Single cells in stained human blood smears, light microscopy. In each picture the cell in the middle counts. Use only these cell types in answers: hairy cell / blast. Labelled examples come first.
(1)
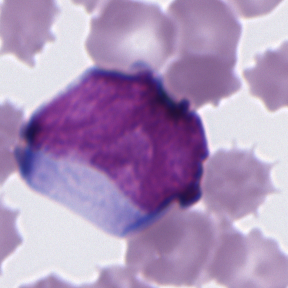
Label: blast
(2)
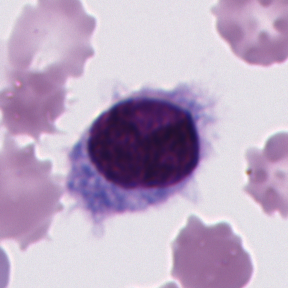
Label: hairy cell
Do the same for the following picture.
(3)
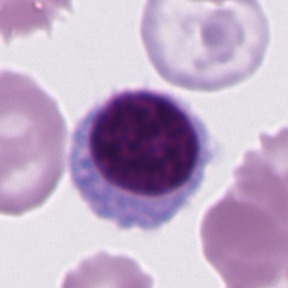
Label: hairy cell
